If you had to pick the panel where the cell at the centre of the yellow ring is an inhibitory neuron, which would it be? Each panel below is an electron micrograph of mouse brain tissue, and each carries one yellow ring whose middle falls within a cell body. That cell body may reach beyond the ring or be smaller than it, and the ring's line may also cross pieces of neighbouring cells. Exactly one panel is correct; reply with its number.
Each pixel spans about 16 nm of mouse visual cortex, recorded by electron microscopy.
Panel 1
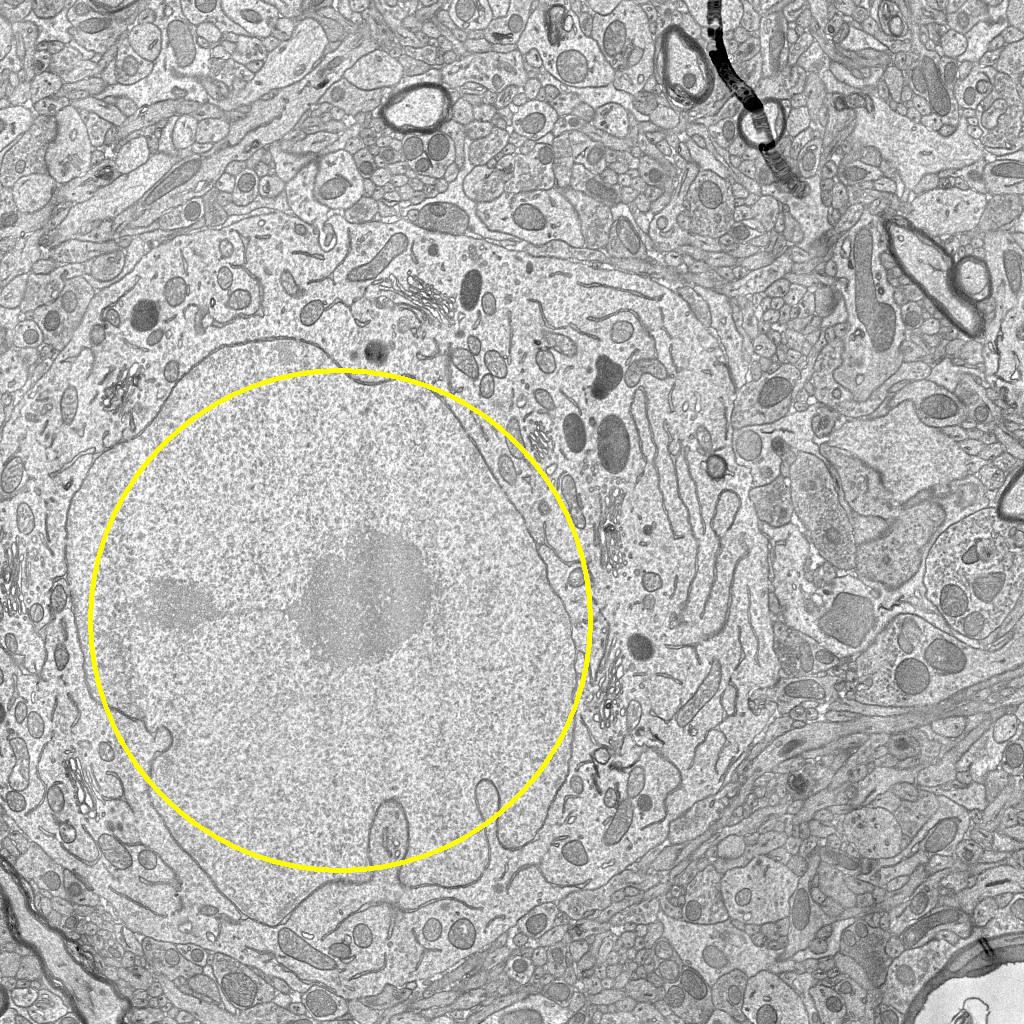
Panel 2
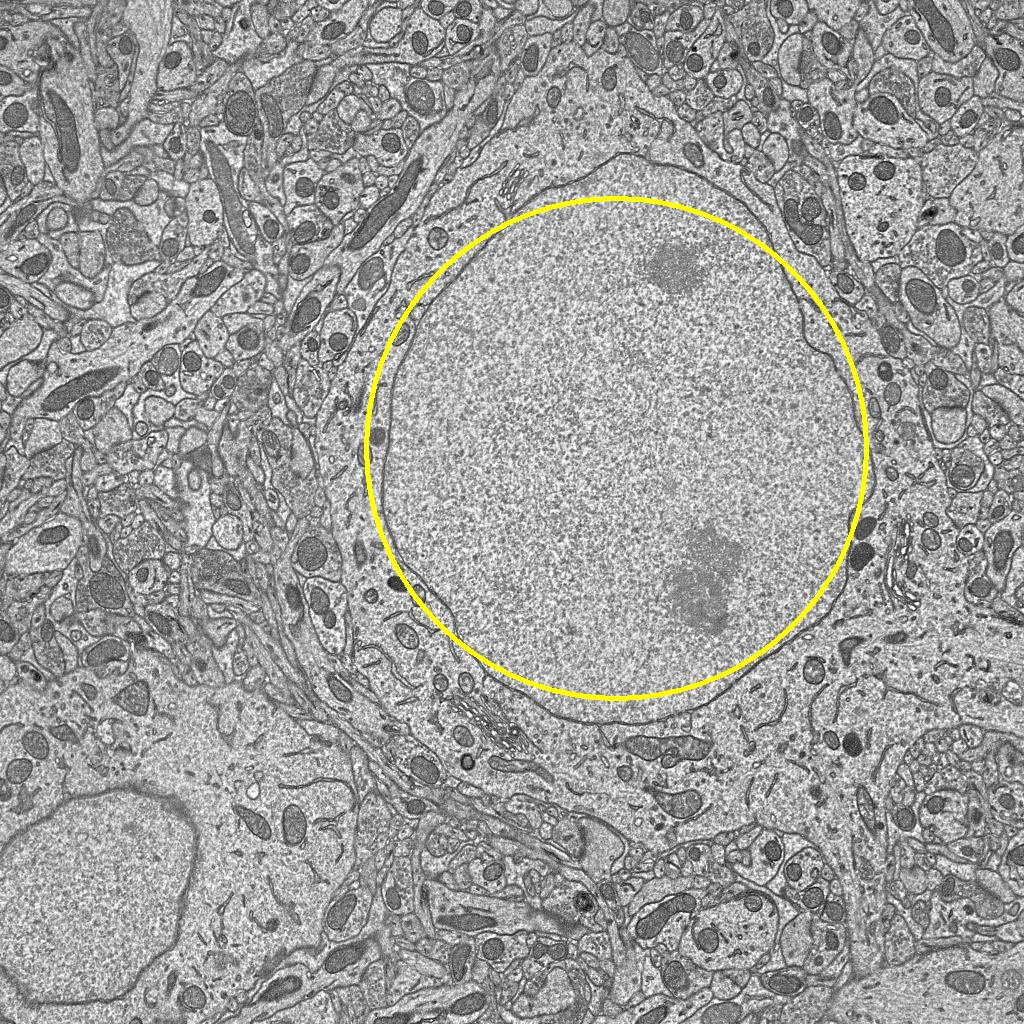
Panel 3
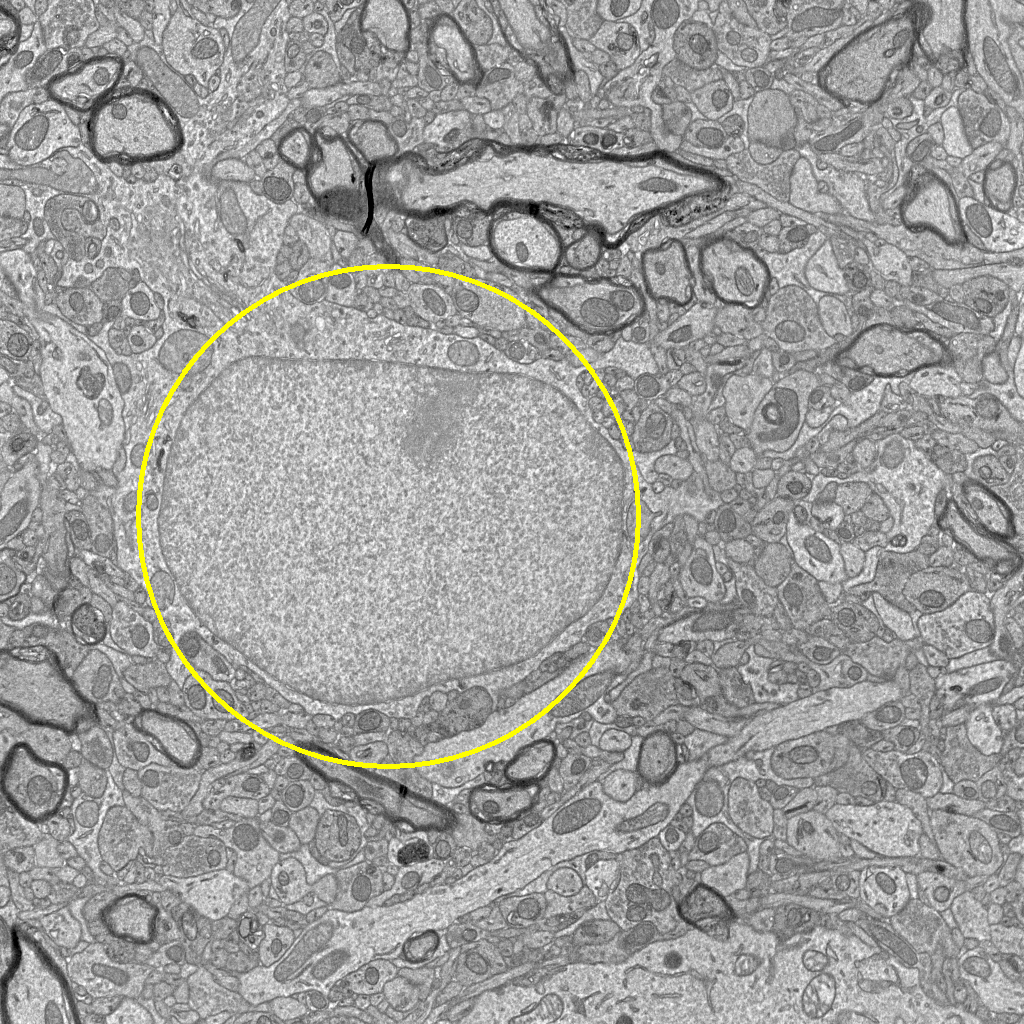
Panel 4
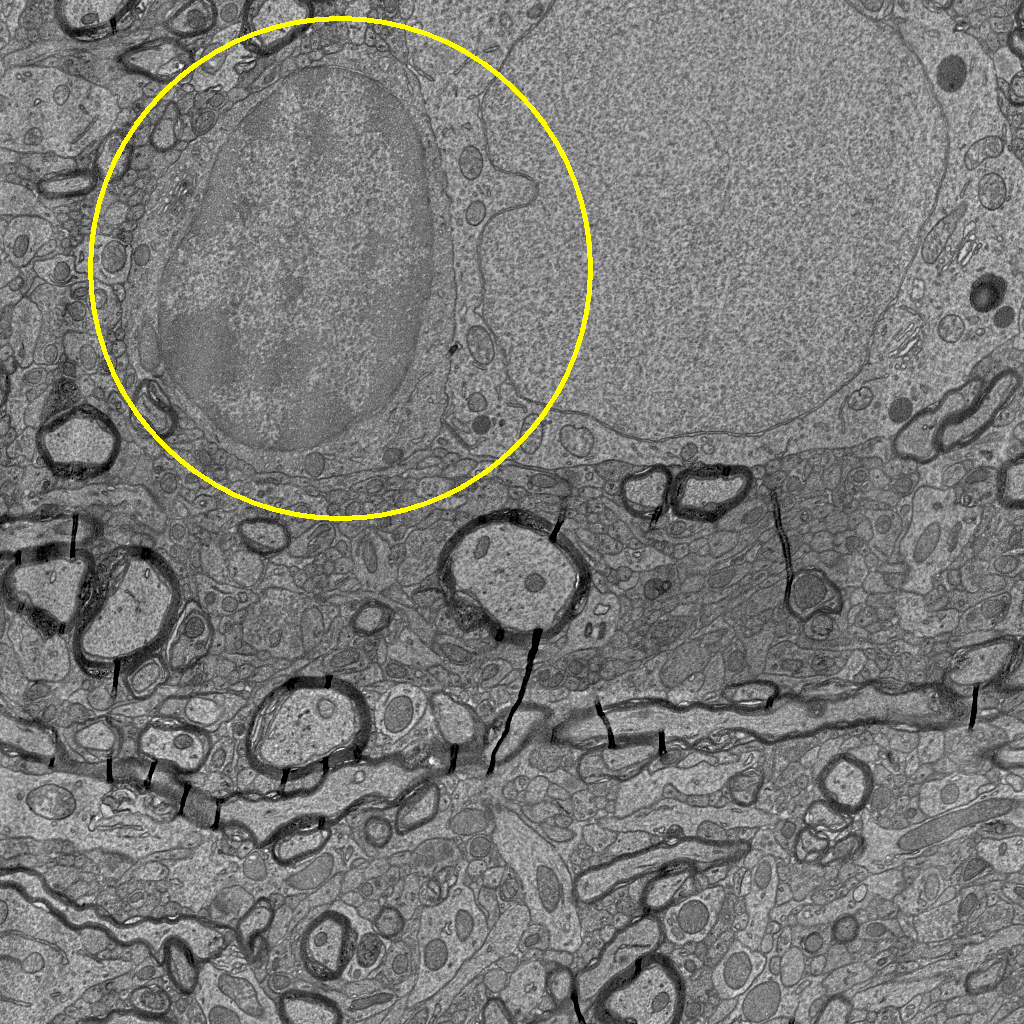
1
